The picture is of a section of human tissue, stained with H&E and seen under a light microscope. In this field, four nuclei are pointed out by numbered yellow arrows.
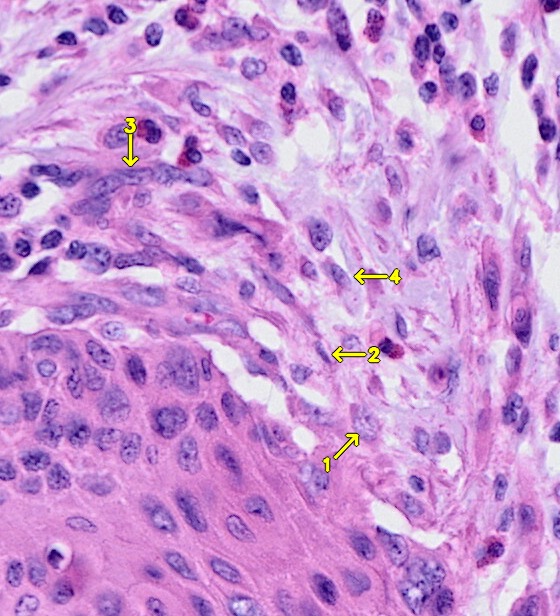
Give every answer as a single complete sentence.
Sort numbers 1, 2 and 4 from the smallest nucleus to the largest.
From smallest to largest, the order is 2, 4, 1.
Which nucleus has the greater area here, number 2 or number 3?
Nucleus 3 covers more area, about 2.5 times as much as nucleus 2.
